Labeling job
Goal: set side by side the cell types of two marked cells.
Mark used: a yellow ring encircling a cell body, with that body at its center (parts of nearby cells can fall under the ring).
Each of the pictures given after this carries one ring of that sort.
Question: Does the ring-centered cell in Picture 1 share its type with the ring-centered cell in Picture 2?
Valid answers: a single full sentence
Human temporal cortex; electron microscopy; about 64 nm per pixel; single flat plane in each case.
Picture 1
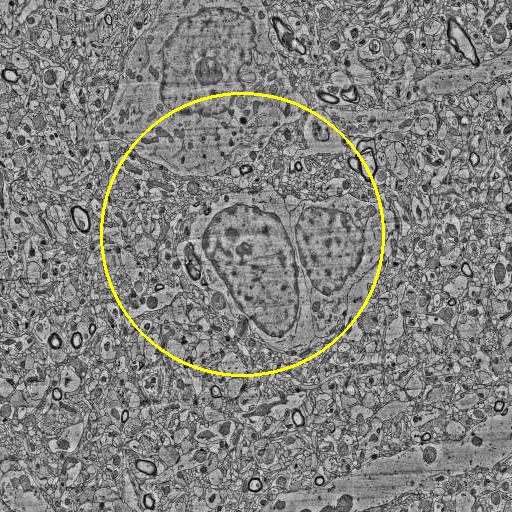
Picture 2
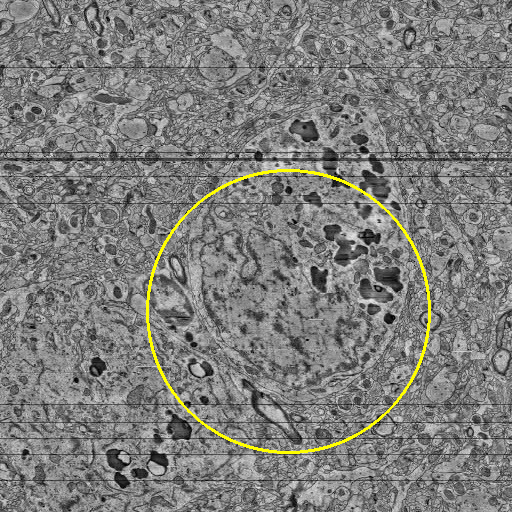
No, in Pictures 1 and 2 the cells at the ring centers have separate types.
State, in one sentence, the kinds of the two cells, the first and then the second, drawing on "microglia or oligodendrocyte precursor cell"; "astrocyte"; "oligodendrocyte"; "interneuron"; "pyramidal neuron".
The ring in the second picture is centred on an interneuron, the ring in the first on a microglial cell or oligodendrocyte precursor cell.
